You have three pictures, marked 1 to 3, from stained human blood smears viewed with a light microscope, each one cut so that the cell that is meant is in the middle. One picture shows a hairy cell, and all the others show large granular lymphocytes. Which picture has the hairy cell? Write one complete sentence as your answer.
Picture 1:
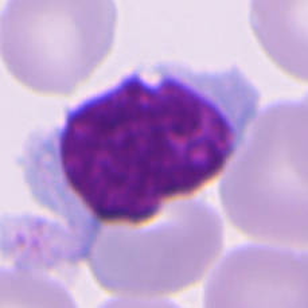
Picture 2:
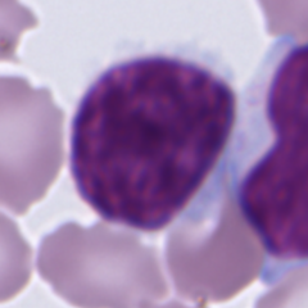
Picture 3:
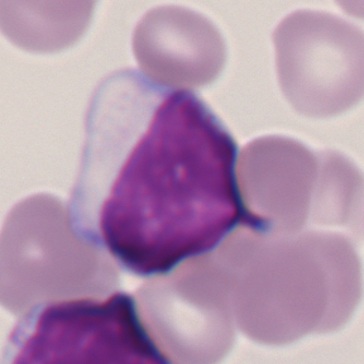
It is picture 2 that shows the hairy cell.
